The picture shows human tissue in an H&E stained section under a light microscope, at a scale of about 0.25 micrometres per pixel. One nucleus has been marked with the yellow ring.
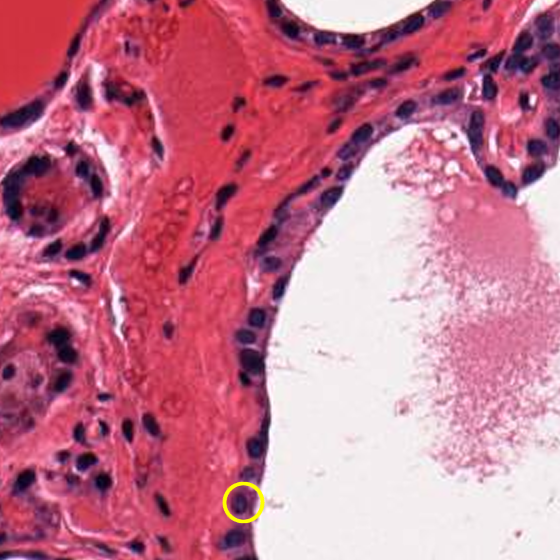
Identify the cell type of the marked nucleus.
thyroid follicular cell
